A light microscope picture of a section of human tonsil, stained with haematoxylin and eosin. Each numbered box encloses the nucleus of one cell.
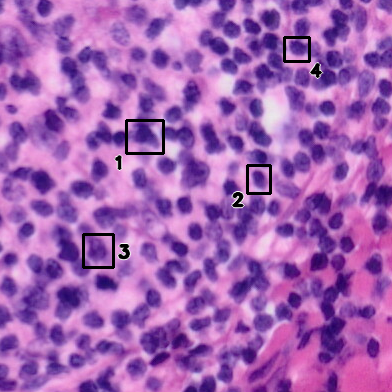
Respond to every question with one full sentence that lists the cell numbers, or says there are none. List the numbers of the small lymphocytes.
The cells numbered 2 and 4 are identified as small lymphocytes.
